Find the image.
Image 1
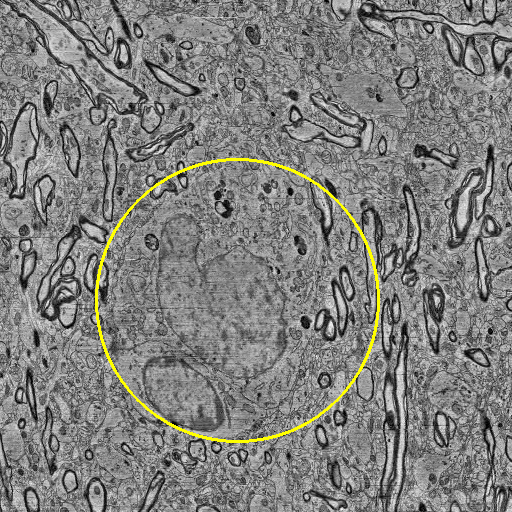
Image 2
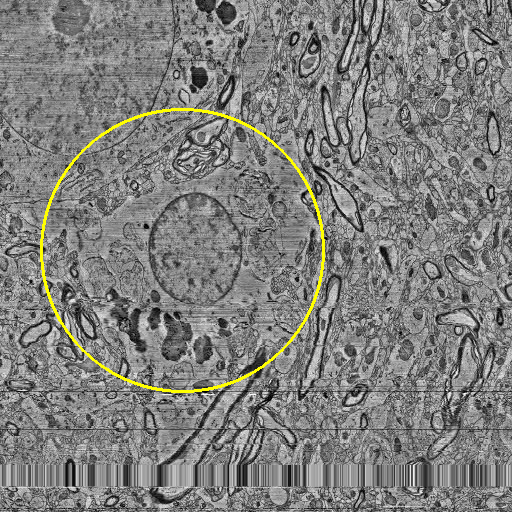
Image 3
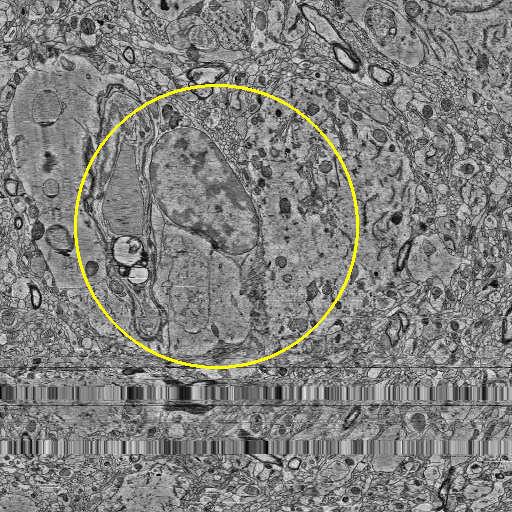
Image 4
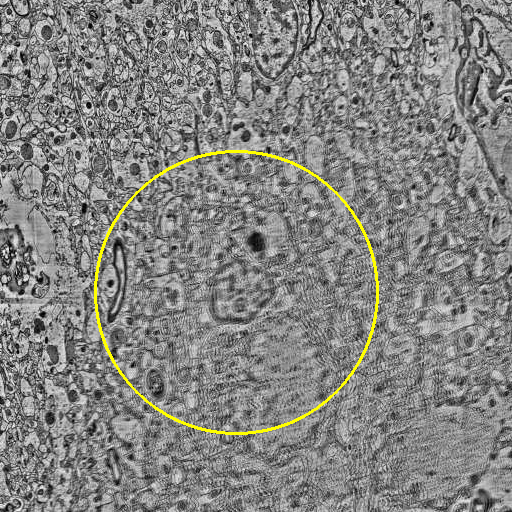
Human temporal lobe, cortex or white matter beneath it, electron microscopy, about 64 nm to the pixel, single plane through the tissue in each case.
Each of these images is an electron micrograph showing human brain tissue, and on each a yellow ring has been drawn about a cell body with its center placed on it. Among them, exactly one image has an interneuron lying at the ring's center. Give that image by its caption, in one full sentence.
The ring in Image 1 is centered on the cell the question describes.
